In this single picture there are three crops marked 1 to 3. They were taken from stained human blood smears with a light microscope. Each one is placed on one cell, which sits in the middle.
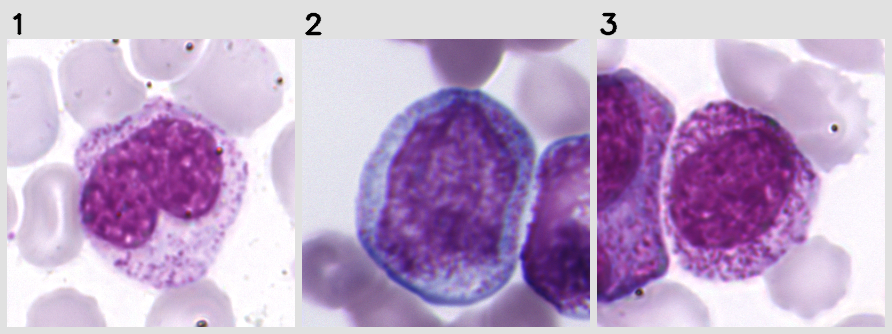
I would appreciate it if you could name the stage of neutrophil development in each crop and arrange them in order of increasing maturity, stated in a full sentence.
The cells in order of increasing maturity are crop 2 (a promyelocyte), crop 3 (a myelocyte) and crop 1 (a band neutrophil).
